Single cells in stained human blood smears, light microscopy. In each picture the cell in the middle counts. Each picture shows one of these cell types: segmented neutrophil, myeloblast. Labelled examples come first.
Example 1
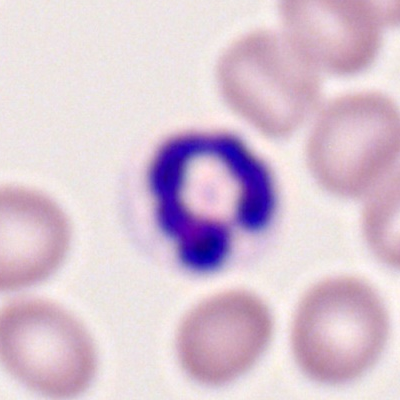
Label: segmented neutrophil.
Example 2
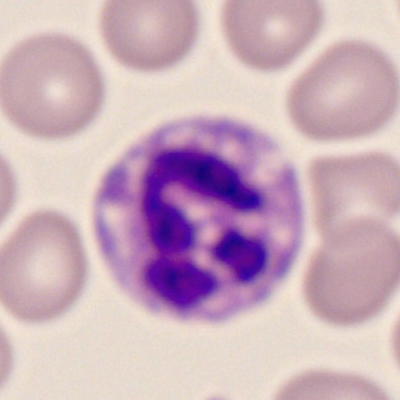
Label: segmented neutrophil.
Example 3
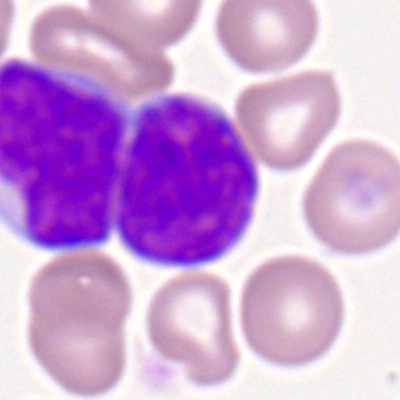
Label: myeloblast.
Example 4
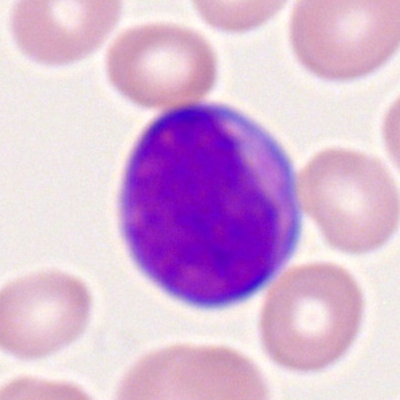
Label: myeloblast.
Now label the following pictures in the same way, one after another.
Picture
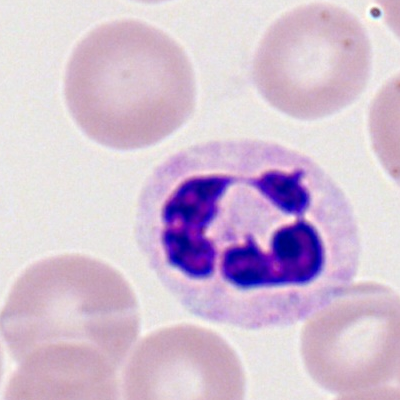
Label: segmented neutrophil.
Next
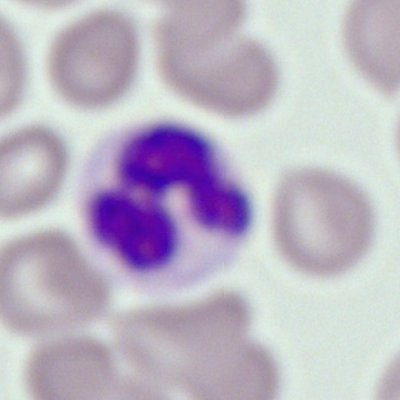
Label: segmented neutrophil.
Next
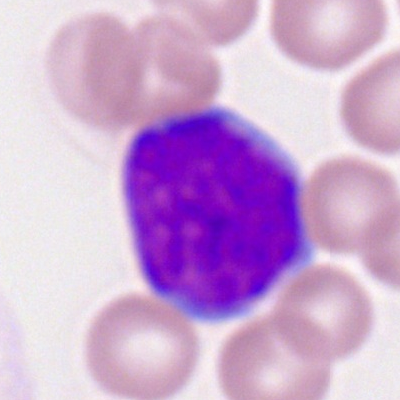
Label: myeloblast.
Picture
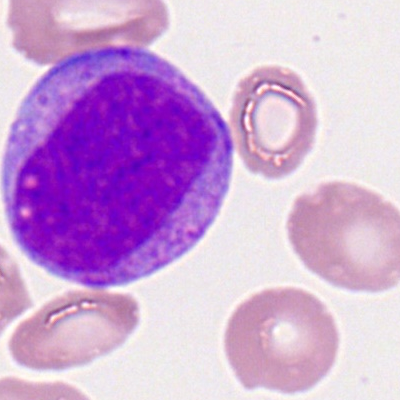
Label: myeloblast.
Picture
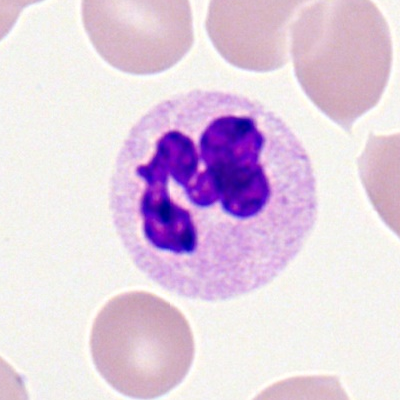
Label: segmented neutrophil.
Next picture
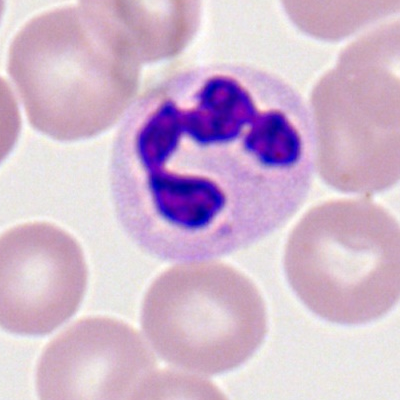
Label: segmented neutrophil.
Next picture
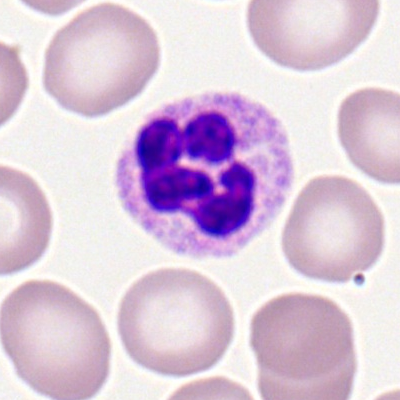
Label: segmented neutrophil.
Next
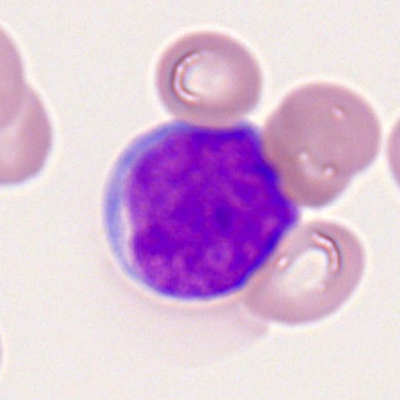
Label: myeloblast.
